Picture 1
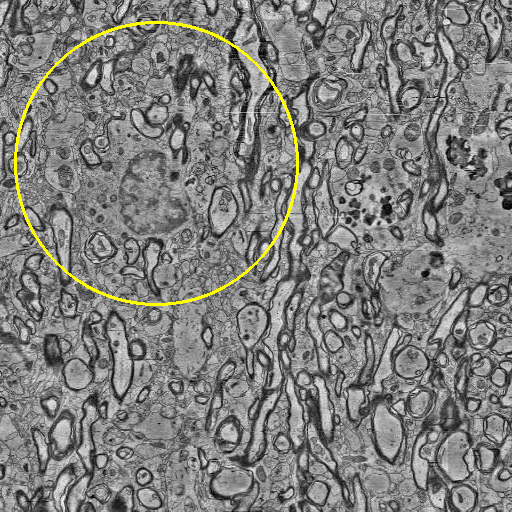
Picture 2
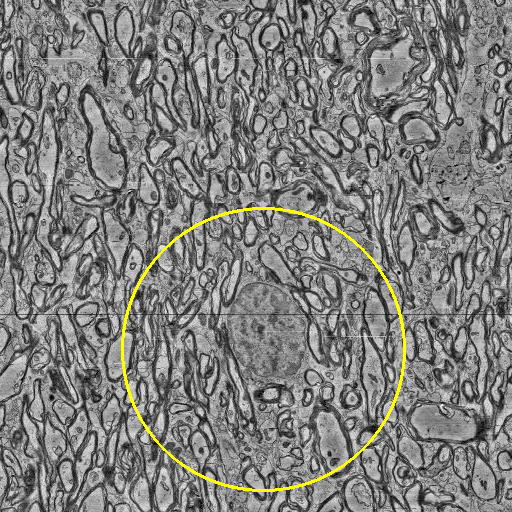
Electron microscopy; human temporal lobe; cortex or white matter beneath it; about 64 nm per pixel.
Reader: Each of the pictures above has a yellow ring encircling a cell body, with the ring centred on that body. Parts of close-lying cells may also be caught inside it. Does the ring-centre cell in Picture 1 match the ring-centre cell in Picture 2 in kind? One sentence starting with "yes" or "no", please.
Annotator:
Yes, Picture 1 and Picture 2 show ring-centre cells of a single kind.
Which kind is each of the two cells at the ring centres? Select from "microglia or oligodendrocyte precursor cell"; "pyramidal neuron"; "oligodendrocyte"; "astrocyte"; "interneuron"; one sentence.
Each of the two cells is an oligodendrocyte.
